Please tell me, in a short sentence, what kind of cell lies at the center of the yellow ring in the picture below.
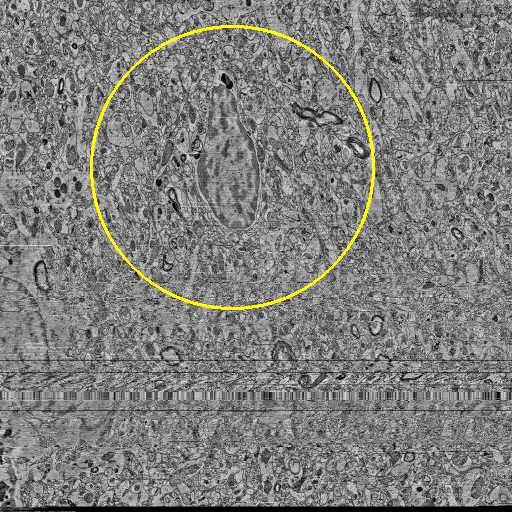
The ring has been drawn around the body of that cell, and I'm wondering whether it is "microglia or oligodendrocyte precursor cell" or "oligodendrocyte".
The cell at the center of the ring is a microglial cell or oligodendrocyte precursor cell.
